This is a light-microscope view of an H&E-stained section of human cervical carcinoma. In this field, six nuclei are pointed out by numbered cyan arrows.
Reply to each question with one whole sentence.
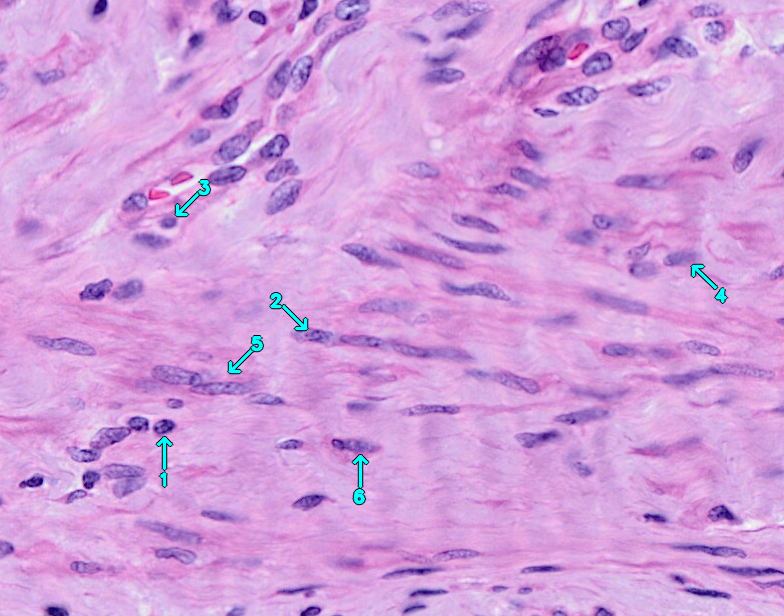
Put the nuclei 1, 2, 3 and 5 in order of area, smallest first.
By area, going up from the smallest, they rank 3, 1, 2, 5.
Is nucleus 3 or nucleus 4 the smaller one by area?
It is nucleus 3; nucleus 4 has about 2 times its area.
